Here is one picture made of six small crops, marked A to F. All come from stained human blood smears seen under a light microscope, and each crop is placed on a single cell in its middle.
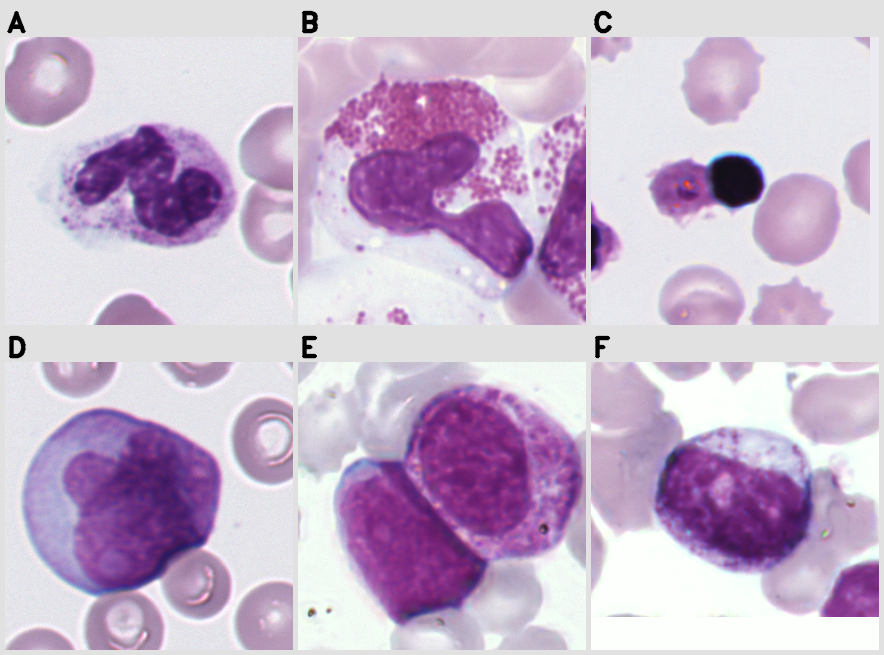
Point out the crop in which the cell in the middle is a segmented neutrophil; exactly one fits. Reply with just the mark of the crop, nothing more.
A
